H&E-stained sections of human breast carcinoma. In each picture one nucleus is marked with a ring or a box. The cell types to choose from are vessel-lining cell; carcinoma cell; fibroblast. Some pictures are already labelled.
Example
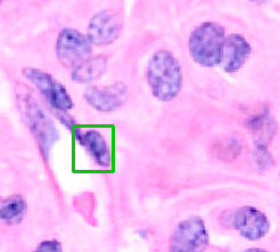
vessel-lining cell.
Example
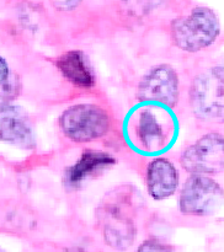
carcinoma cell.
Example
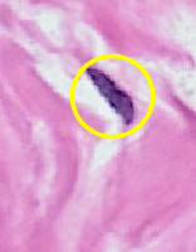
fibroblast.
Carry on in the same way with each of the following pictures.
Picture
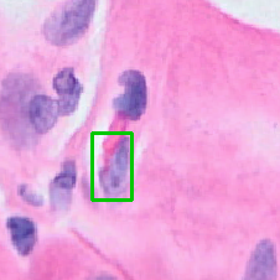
vessel-lining cell.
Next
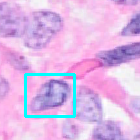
vessel-lining cell.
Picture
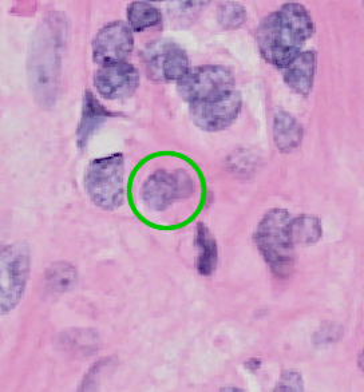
carcinoma cell.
